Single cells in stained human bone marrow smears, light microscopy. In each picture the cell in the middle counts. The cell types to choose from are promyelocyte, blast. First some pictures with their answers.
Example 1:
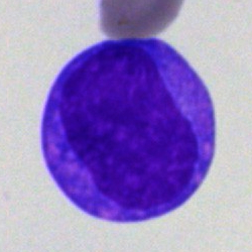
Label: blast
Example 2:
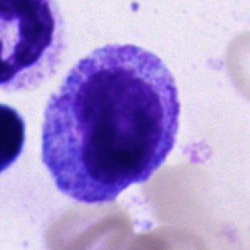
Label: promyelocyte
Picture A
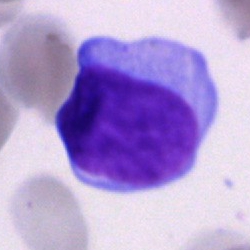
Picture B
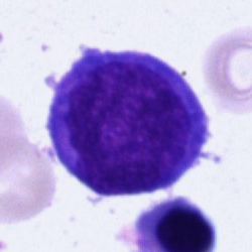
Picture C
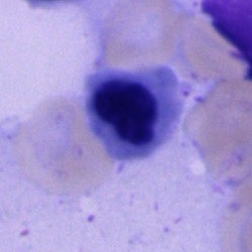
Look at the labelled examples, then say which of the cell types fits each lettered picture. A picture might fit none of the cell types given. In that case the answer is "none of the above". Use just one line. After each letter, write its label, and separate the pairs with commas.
A blast, B blast, C none of the above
